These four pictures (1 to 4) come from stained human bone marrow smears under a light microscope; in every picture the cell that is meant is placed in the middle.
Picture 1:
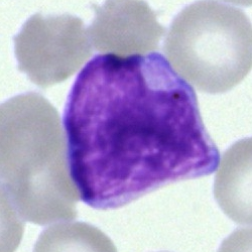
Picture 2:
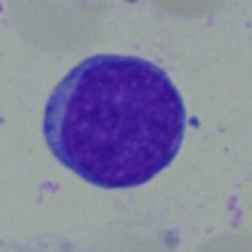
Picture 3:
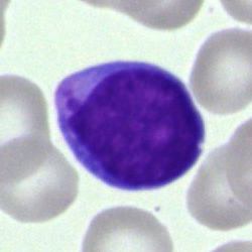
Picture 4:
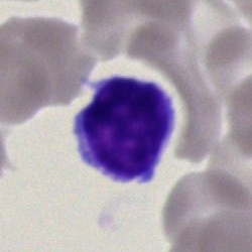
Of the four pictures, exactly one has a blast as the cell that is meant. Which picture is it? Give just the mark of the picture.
1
